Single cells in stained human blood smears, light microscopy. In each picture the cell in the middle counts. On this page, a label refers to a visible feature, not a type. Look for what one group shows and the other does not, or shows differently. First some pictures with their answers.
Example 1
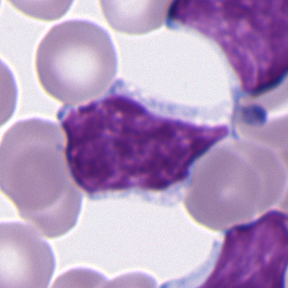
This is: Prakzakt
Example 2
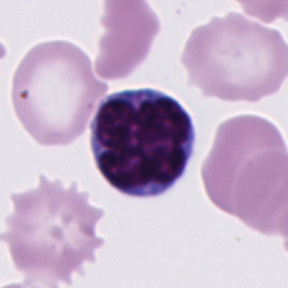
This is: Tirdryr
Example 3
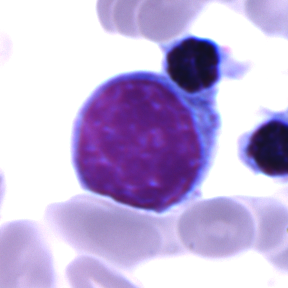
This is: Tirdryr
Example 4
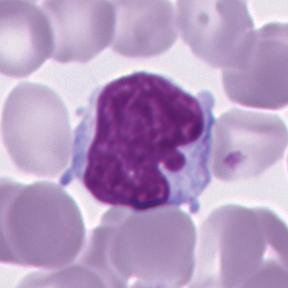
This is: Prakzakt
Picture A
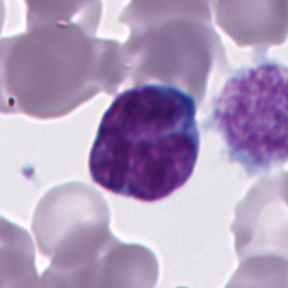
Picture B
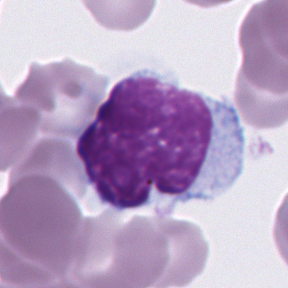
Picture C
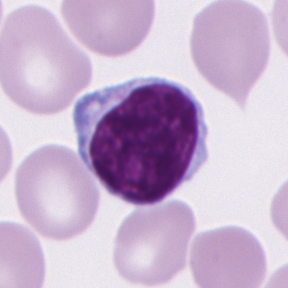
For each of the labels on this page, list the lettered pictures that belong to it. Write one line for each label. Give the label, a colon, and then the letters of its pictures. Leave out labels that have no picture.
Prakzakt: B, C
Tirdryr: A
